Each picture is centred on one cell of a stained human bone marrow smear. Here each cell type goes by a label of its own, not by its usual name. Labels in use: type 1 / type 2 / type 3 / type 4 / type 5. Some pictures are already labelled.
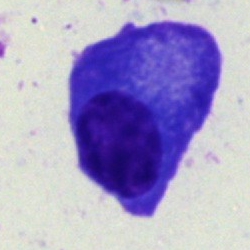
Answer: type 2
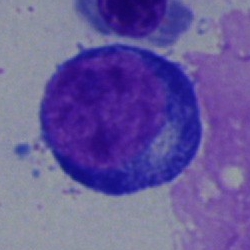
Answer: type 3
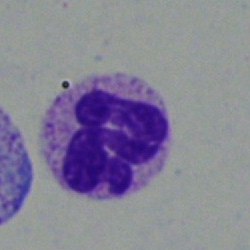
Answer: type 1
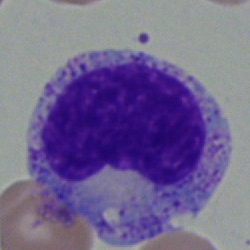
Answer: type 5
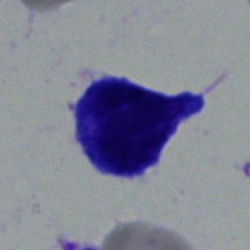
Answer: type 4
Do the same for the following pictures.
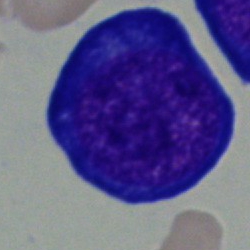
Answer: type 3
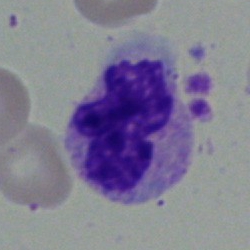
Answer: type 1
